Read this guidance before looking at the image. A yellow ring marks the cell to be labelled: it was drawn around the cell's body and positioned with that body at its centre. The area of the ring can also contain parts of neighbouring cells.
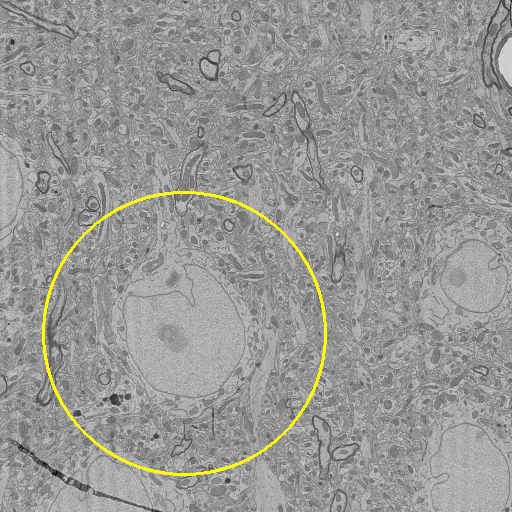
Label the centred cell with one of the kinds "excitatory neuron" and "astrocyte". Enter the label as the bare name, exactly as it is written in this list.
excitatory neuron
